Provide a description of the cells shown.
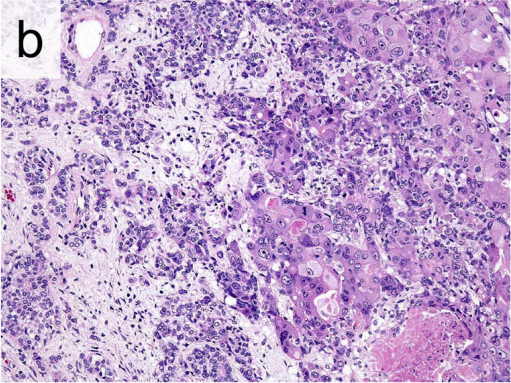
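Carcinoma arising in a pleomorphic adenoma. On the right lie sheets of large carcinoma cells with abundant pink cytoplasm and large nuclei that vary in size and shape. On the left lies the older benign component. It has smaller, darker cells in cords and clusters set in a pale, loose stroma. A small patch of pink necrotic material is seen at the lower right.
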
